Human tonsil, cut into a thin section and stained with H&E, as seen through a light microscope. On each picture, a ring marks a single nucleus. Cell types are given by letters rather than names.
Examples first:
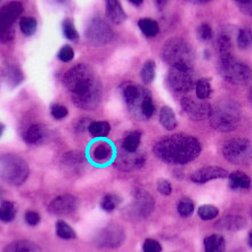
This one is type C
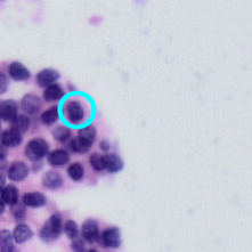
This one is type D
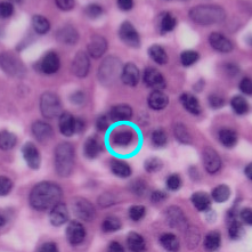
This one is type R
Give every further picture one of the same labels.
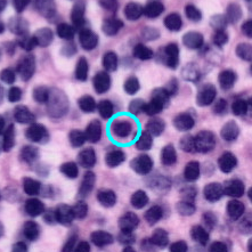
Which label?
type D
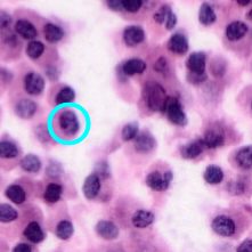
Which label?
type R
